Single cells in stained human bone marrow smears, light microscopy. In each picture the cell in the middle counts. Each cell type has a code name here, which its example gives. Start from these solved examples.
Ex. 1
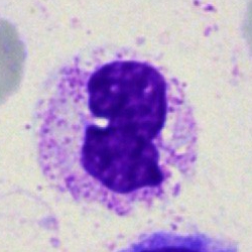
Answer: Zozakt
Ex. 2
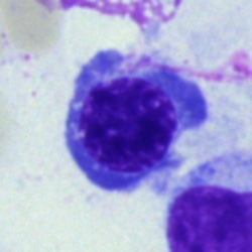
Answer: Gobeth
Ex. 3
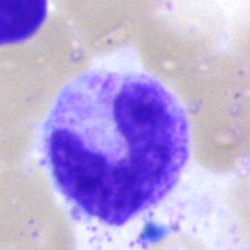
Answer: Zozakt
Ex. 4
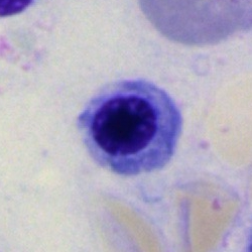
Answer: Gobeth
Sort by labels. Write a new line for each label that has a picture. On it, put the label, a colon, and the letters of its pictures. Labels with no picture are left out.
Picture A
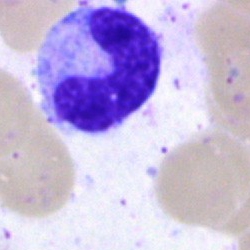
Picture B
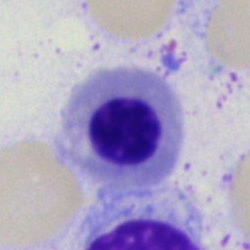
Zozakt: A
Gobeth: B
